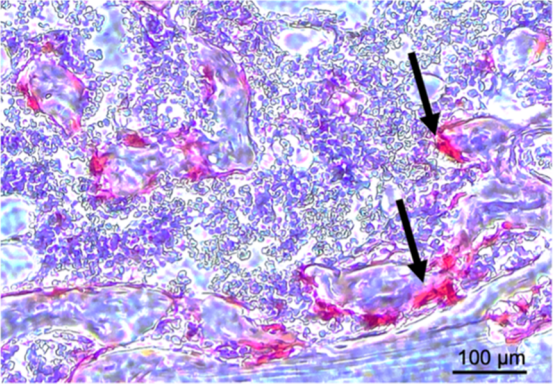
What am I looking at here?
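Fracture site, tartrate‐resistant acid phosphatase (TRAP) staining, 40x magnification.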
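Pale, irregular trabeculae of bone run through the field, and between them lies densely packed tissue of small purple-blue cells. The red-stained cells are found mainly at the margins of the trabeculae, pressed against the bone surface, rather than scattered in the intervening tissue. Several such red clusters line different bone edges, especially along the lower part of the field.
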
